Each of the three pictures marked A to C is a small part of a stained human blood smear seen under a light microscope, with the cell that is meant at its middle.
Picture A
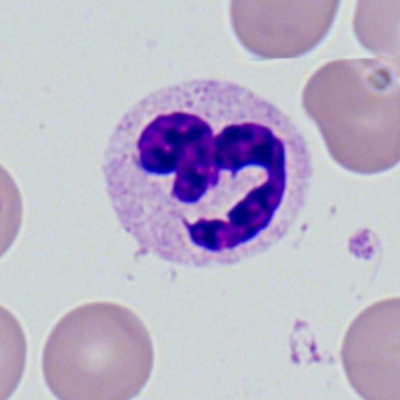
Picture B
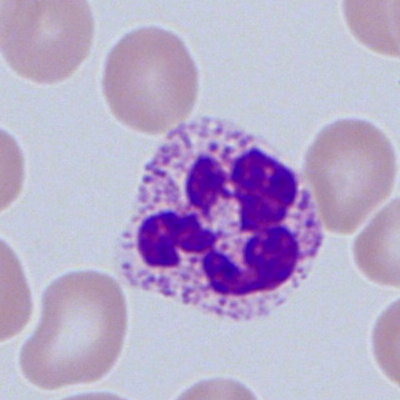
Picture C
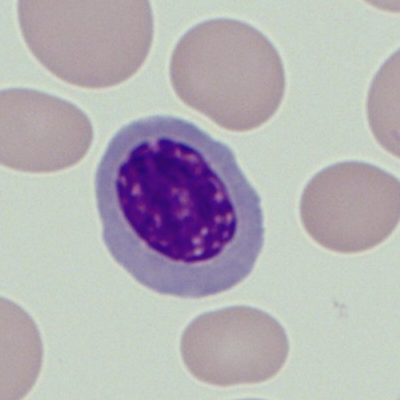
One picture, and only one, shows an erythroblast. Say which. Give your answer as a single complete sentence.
The cell in picture C is the erythroblast.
